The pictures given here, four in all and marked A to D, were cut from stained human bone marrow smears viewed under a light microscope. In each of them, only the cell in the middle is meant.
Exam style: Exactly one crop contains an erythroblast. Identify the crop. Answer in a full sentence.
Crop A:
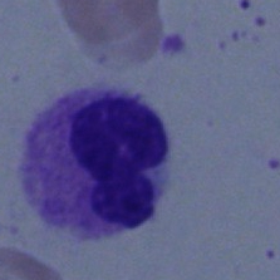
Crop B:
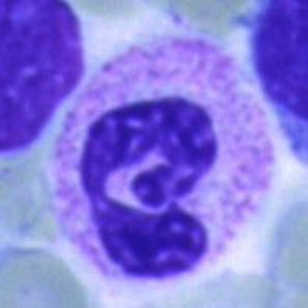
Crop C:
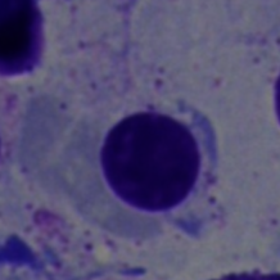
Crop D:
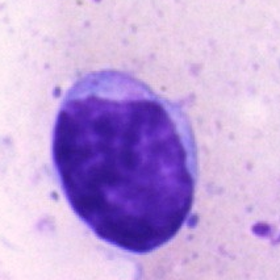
The crop carrying an erythroblast at the center is crop C.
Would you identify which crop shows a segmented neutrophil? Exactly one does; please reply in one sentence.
Crop B represents a segmented neutrophil, while the other crops do not.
